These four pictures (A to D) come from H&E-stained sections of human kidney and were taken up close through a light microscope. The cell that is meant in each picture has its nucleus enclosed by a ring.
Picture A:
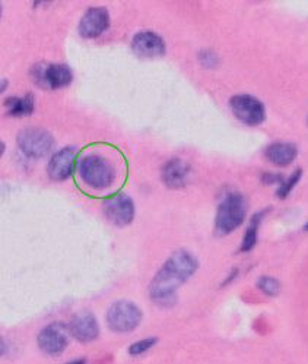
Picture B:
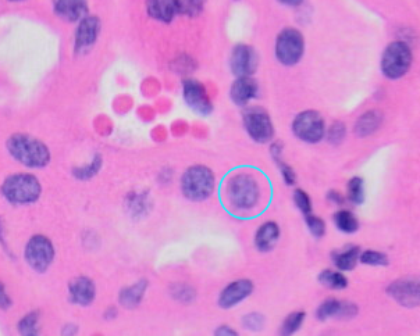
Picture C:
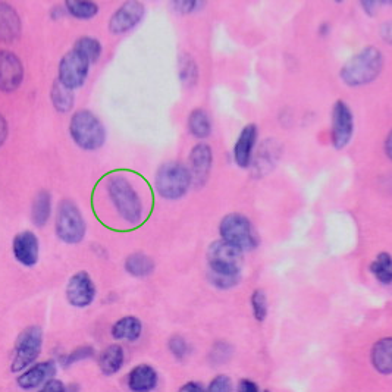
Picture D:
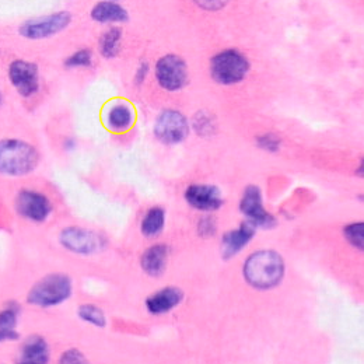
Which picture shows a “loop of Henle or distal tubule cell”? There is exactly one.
D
